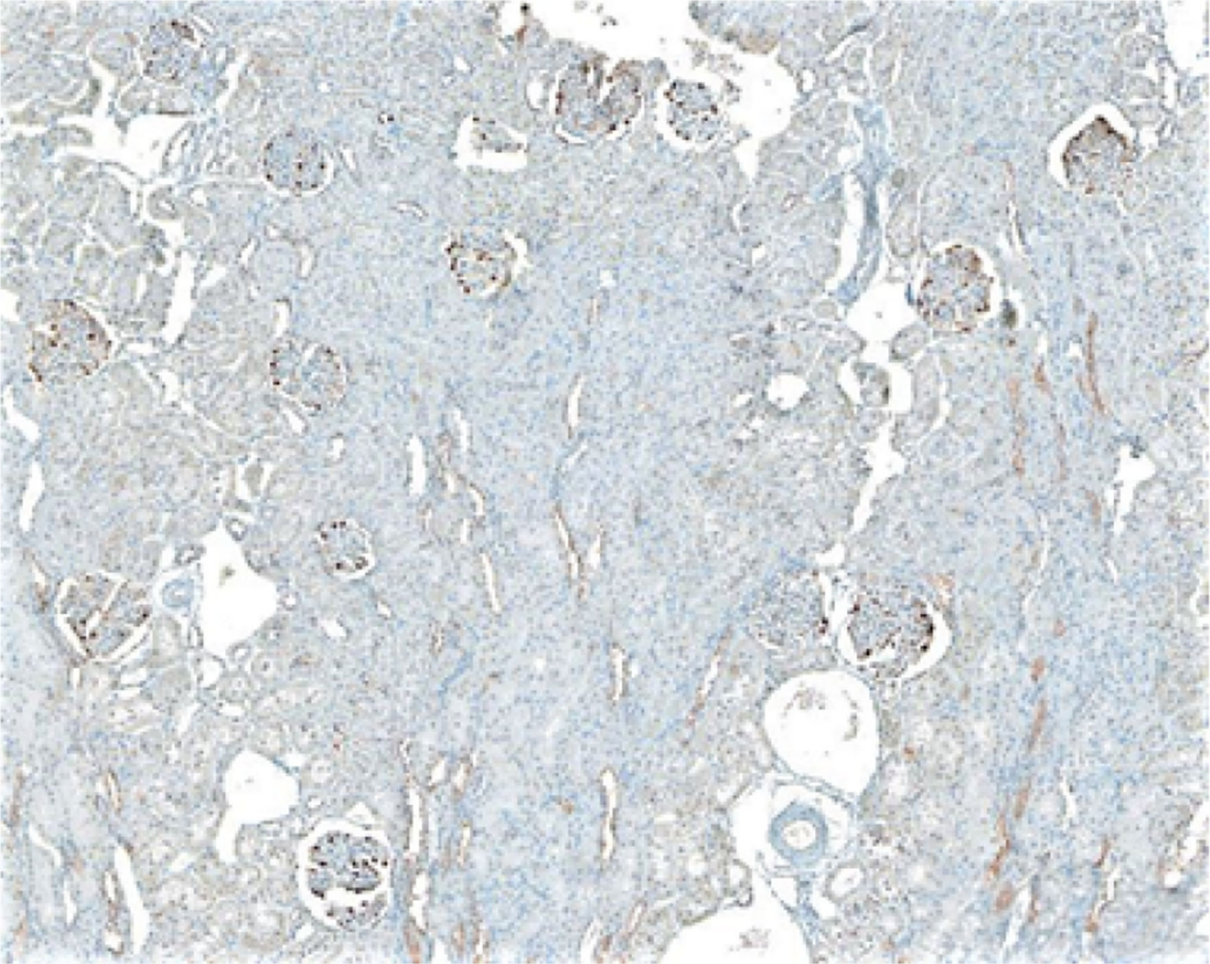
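This is a low-power view of kidney cortex, with round glomeruli scattered among densely packed tubules. The surrounding tubules are pale grey-tan with blue nuclei. Elongated brownish streaks run between the tubules, and a few round, thick-walled vessels appear in cross-section in the lower part of the field.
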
